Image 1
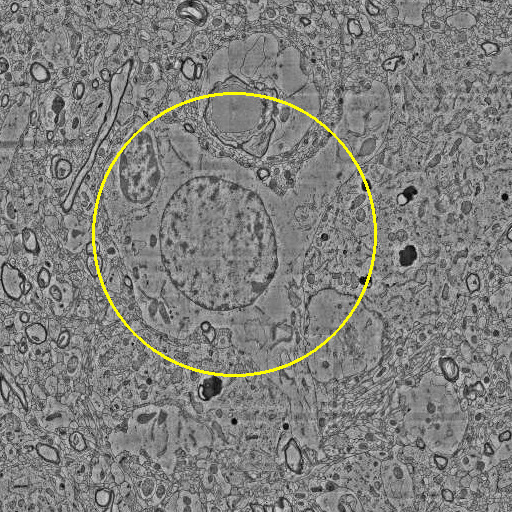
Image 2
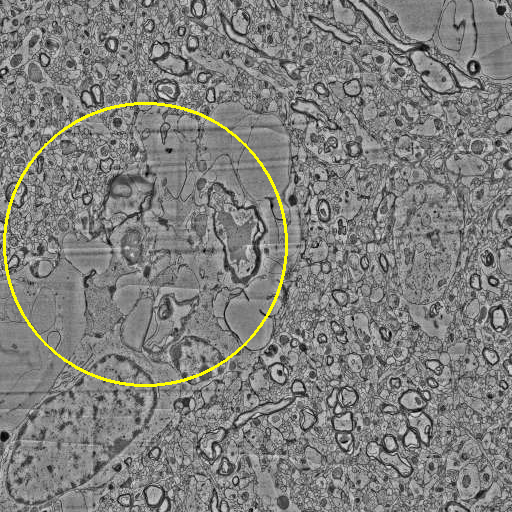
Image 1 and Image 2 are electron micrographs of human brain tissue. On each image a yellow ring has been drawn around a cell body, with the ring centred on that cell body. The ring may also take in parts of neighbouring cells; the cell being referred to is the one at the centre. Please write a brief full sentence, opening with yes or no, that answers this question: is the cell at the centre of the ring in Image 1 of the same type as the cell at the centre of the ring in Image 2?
No, the two cells are of two types.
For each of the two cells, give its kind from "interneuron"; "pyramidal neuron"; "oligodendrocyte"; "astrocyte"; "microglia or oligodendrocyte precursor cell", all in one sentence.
The first picture has an astrocyte in its ring, the second has an oligodendrocyte.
